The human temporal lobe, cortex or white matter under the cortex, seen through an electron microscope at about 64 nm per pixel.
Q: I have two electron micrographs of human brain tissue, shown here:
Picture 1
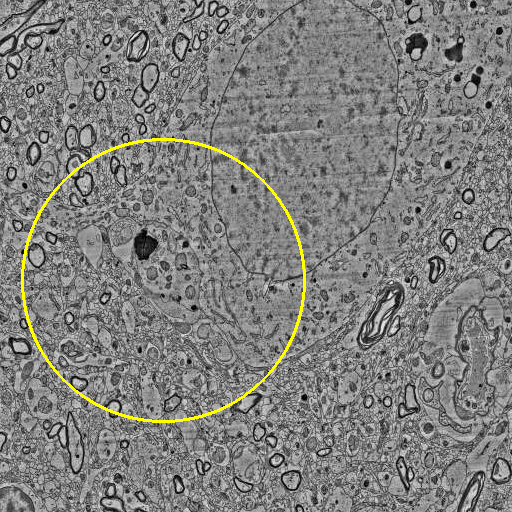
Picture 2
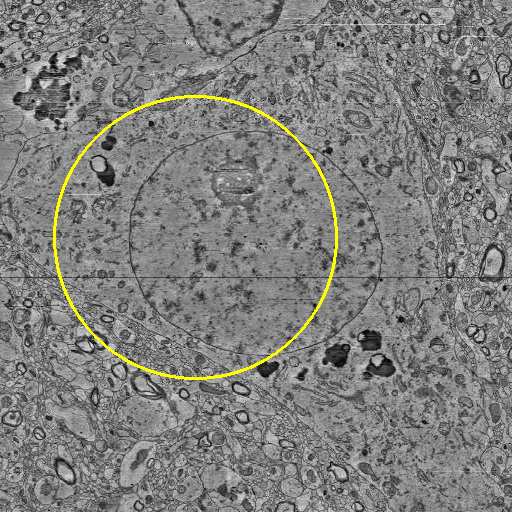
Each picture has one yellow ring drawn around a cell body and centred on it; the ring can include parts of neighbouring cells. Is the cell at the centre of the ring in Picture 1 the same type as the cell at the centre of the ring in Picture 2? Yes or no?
no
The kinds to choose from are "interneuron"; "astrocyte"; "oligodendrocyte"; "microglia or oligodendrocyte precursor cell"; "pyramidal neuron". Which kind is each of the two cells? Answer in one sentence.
Of the two, the first cell is an oligodendrocyte and the second cell is a pyramidal neuron.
